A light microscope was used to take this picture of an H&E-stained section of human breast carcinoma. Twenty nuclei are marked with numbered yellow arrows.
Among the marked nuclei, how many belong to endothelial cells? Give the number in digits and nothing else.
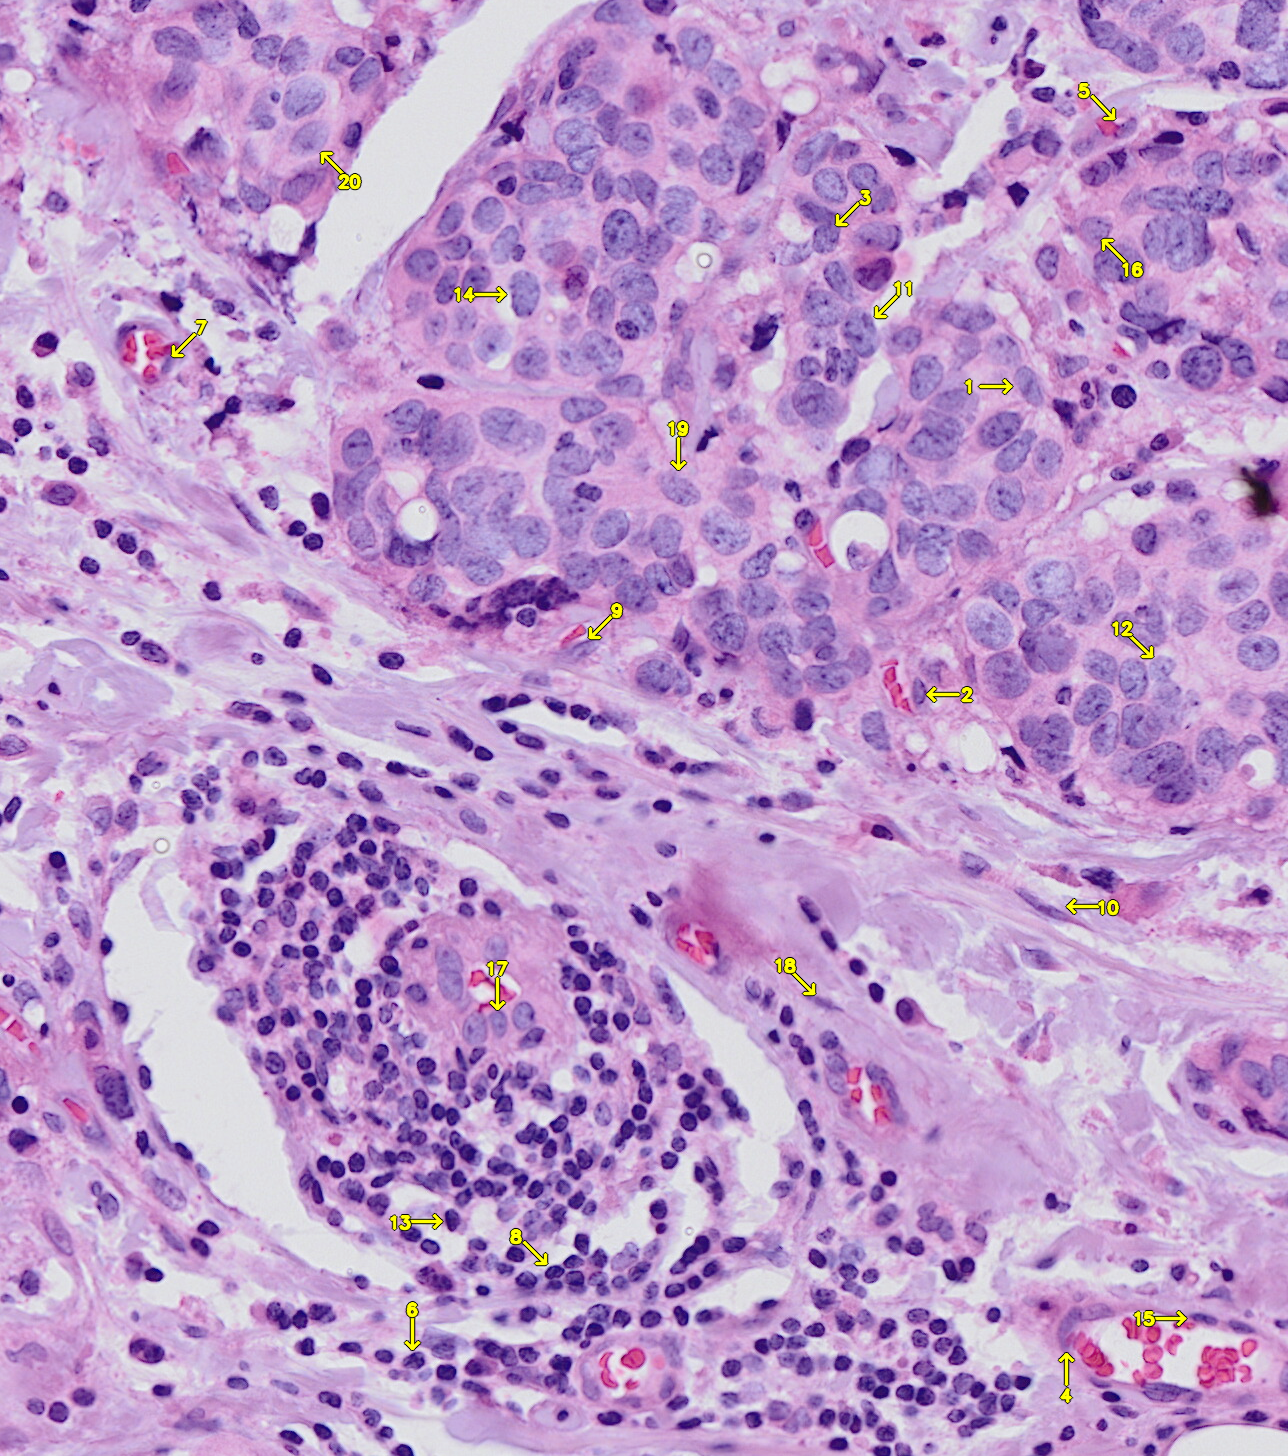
7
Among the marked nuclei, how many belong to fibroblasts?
2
